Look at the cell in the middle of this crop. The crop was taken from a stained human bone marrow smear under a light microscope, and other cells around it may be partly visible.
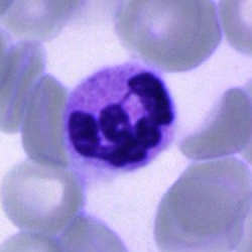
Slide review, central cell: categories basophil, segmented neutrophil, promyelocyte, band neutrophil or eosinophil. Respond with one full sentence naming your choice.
In the center of this field lies a segmented neutrophil.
